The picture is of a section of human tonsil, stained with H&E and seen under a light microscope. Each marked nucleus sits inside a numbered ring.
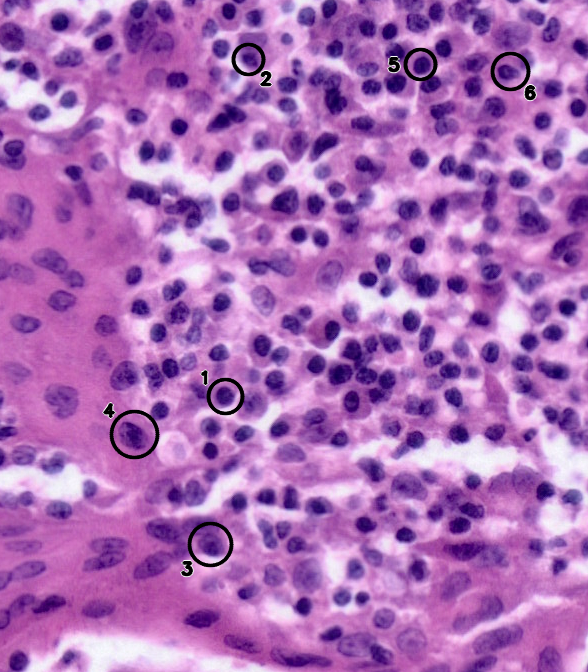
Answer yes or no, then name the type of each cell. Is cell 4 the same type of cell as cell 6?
No, whereas cell 6 is a plasma cell, cell 4 is a squamous epithelial cell.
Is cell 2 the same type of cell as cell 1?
Yes, that is correct, cells 2 and 1 are both plasma cells.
